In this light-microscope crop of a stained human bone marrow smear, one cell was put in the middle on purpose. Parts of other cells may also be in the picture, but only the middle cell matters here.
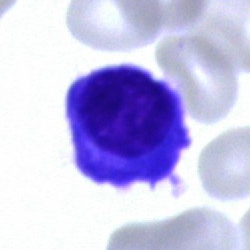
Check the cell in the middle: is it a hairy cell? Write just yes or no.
no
